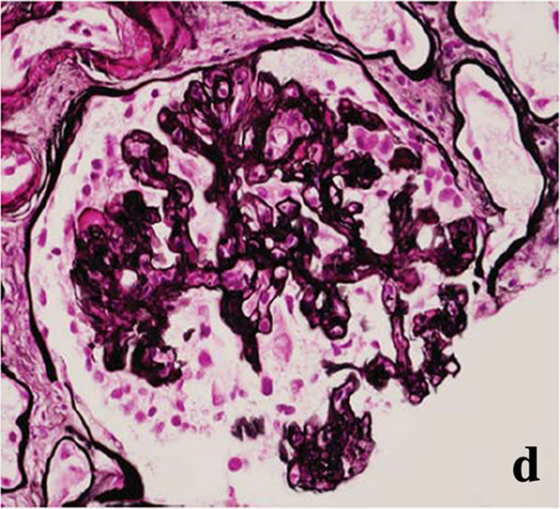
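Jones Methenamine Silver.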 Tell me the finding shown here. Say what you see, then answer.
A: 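The capillary walls stained black are wrinkled and crowded together in a shrunken tuft. Few open capillary lumens remain. The answer: implosion of the capillary loops.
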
